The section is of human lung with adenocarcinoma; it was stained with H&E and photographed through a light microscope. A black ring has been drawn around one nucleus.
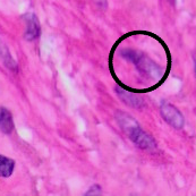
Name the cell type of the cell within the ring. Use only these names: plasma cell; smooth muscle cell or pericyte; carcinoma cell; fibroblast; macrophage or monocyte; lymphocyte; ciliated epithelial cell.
smooth muscle cell or pericyte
